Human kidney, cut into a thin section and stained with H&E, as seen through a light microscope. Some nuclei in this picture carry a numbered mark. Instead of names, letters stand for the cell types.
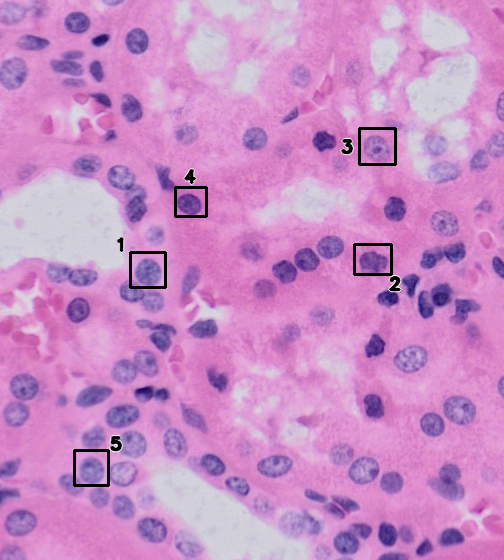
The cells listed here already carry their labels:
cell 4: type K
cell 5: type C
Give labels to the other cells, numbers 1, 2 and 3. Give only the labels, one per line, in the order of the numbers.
type C
type K
type K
